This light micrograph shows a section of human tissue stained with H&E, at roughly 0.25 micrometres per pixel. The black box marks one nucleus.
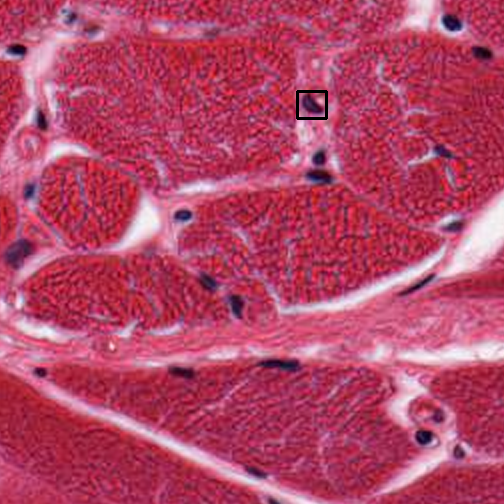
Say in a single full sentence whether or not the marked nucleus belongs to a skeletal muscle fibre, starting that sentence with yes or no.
No, the marked nucleus is not borne by a skeletal muscle fibre; it is borne by a supporting cell.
